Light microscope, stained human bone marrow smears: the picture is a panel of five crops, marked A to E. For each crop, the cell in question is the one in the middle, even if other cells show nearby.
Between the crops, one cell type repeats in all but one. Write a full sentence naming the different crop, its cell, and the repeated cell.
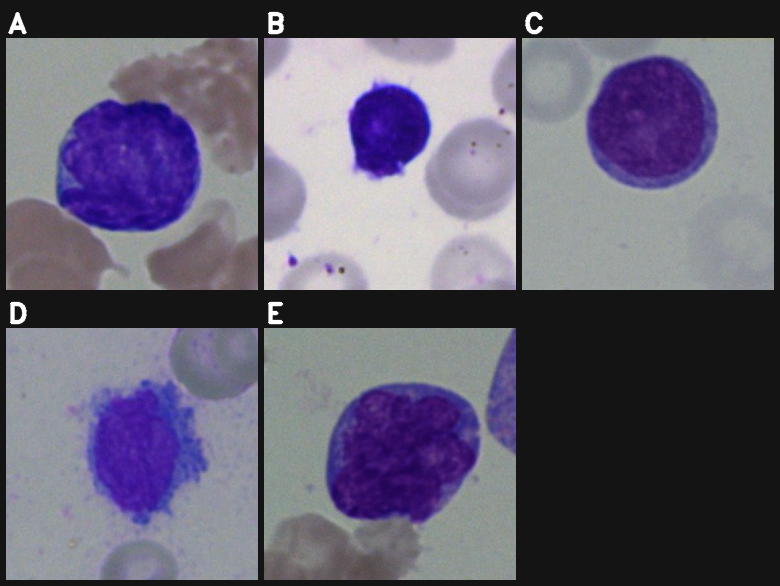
Differing from the rest, crop D shows a lymphocyte; the others all show blasts.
